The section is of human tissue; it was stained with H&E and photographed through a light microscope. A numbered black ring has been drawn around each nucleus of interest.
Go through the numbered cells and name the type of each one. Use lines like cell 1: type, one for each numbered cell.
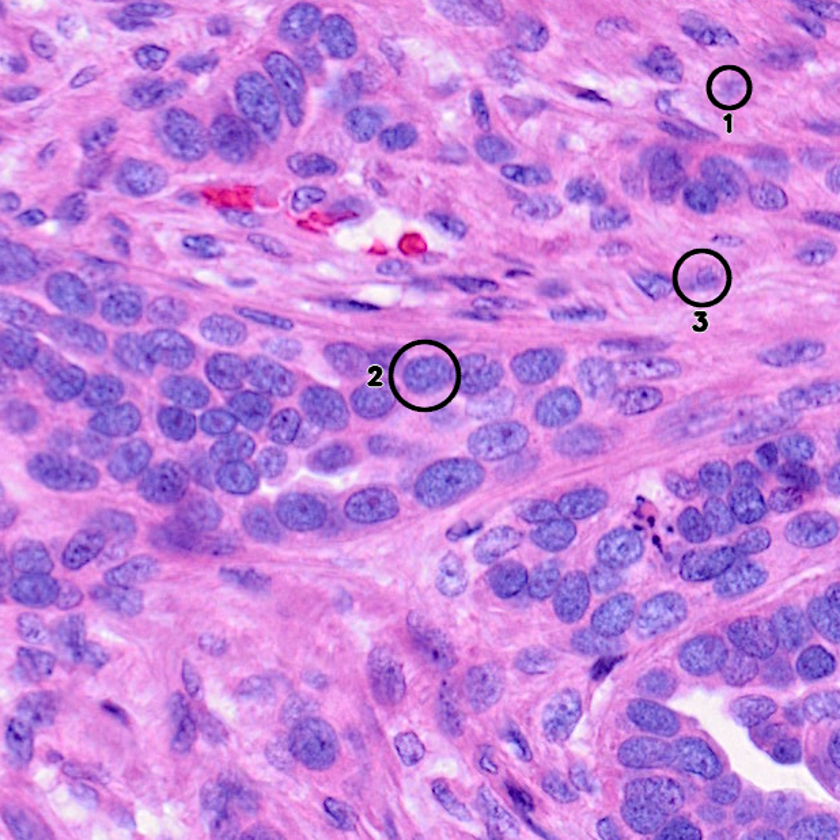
cell 1: fibroblast
cell 2: carcinoma cell
cell 3: fibroblast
